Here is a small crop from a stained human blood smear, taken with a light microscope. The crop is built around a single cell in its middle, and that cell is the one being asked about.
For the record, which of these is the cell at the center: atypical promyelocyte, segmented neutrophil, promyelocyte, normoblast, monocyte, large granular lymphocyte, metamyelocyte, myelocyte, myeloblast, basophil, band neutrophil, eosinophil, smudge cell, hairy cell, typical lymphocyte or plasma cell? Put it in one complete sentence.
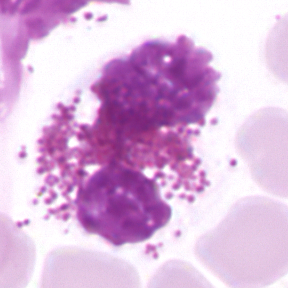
The cell that lies at the centre of the crop is an eosinophil.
